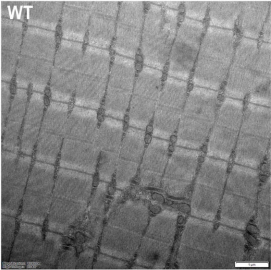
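Transmission electron micrograph of skeletal muscle cut longitudinally, showing myofibrils running in parallel bands, set diagonally across the field. Each myofibril is divided into regularly repeating sarcomeres bounded by dense, dark Z-lines that are aligned in register from one myofibril to the next, giving a ladder-like pattern. Between the myofibrils, small, dark, oval mitochondria lie mostly in pairs on either side of the Z-lines. The myofilament texture within each sarcomere is fine and uniform, with lighter and darker bands. A few larger clusters of organelles lie near the lower left.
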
